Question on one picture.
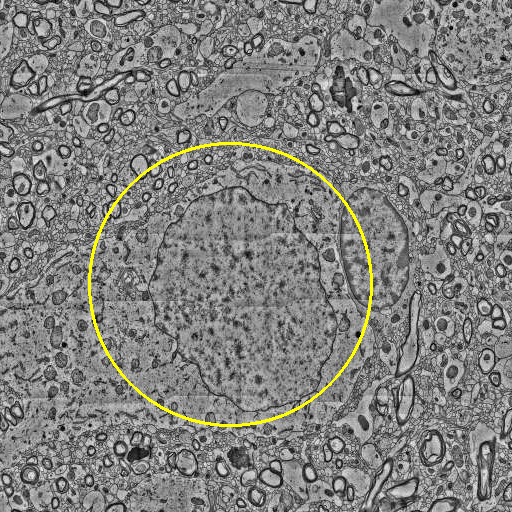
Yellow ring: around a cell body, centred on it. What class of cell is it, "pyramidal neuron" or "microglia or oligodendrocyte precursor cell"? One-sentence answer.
This is a pyramidal neuron, the cell the ring is centred on.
